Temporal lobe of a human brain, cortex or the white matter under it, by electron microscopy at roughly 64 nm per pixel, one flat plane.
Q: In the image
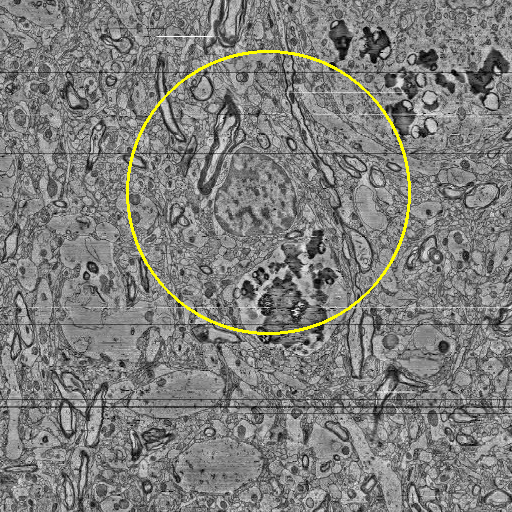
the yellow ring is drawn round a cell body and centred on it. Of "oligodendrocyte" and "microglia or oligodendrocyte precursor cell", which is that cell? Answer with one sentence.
The cell centred in the ring is a microglial cell or oligodendrocyte precursor cell.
